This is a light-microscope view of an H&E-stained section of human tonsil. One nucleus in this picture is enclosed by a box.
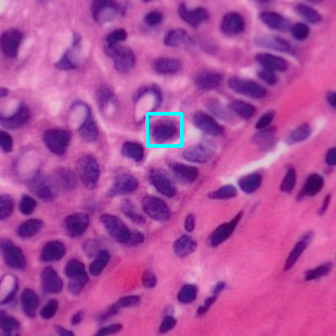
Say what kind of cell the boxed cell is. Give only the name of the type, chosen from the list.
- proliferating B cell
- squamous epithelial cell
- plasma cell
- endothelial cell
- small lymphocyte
squamous epithelial cell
